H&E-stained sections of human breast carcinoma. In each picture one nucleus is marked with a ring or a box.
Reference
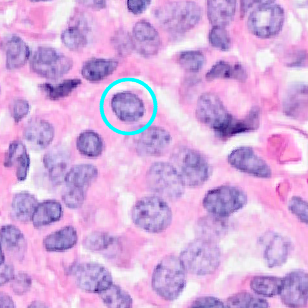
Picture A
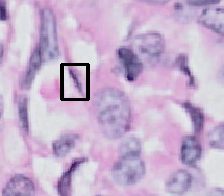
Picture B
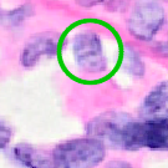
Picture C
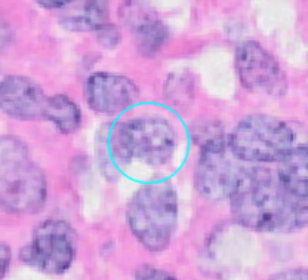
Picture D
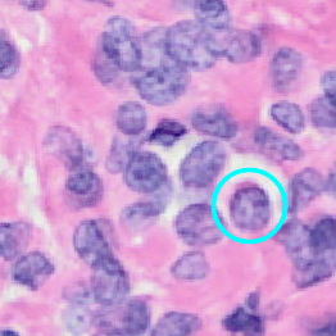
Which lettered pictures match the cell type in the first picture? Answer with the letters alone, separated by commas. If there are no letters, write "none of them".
B, C, D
